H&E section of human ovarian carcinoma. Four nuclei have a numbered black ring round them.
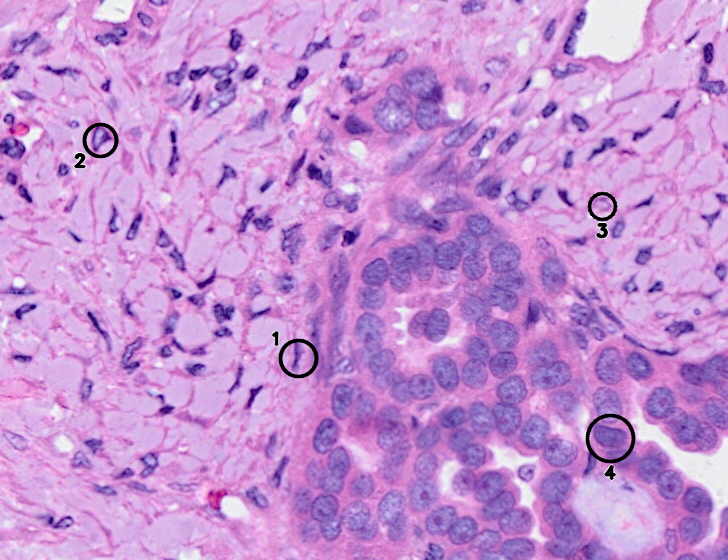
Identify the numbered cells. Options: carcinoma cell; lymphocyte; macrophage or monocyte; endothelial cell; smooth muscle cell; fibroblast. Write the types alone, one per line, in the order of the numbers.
fibroblast
fibroblast
fibroblast
carcinoma cell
